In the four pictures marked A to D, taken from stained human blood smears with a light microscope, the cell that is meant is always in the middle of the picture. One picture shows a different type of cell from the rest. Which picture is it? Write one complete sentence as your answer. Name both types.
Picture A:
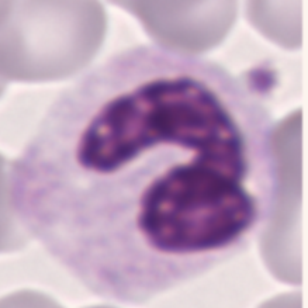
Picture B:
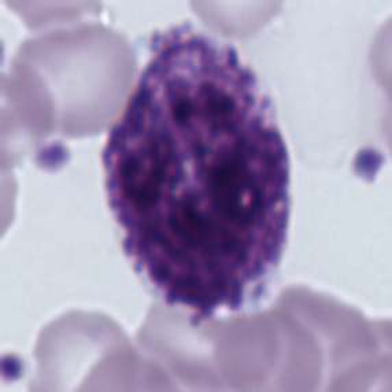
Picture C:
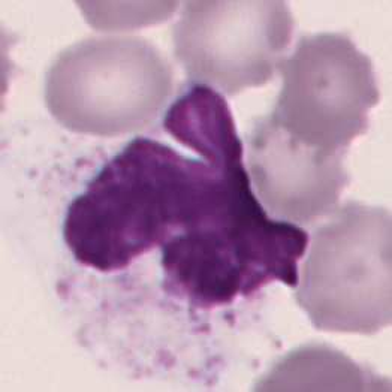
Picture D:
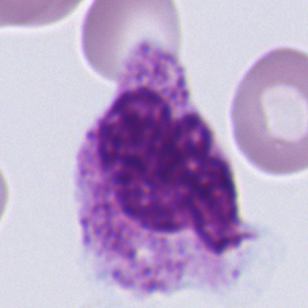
All pictures except B show segmented neutrophils; picture B shows a basophil.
